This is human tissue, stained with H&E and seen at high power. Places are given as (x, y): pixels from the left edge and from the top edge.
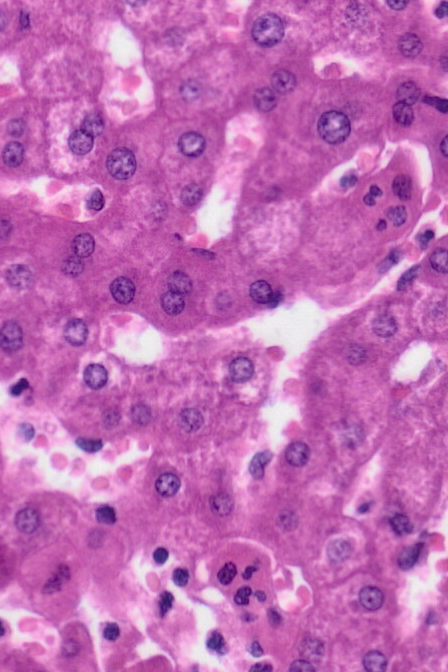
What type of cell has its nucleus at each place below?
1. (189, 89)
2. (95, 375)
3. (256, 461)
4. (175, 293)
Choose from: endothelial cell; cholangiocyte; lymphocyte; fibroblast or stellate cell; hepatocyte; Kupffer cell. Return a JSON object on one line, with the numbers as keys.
{"1": "hepatocyte", "2": "hepatocyte", "3": "Kupffer cell", "4": "hepatocyte"}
